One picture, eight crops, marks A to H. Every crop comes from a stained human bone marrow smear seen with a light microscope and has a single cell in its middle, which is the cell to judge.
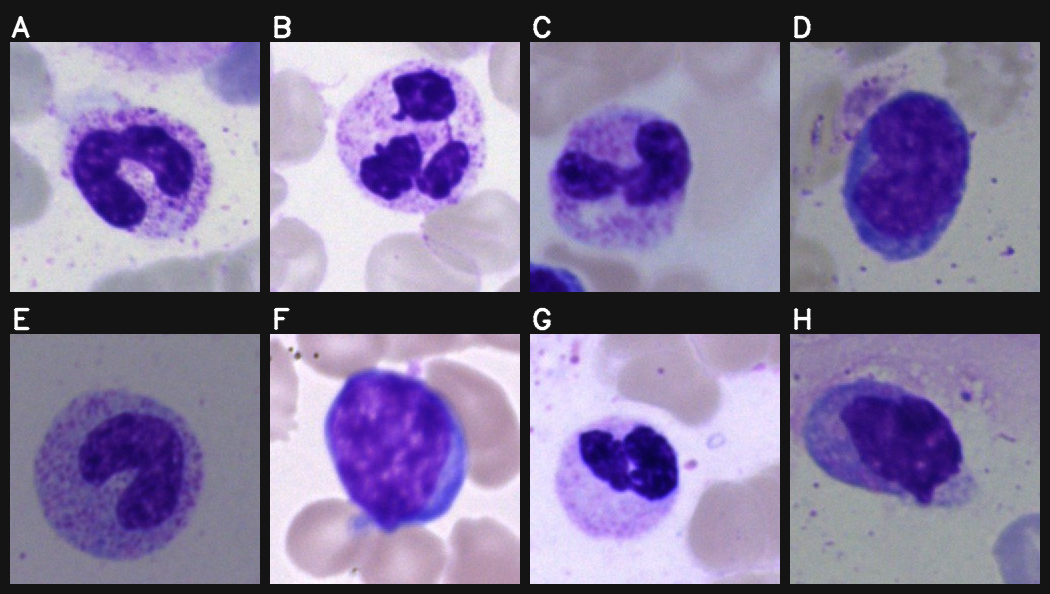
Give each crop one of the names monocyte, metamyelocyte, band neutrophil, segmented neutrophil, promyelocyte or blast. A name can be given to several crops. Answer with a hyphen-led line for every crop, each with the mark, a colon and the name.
- A: band neutrophil
- B: segmented neutrophil
- C: segmented neutrophil
- D: blast
- E: band neutrophil
- F: blast
- G: segmented neutrophil
- H: monocyte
